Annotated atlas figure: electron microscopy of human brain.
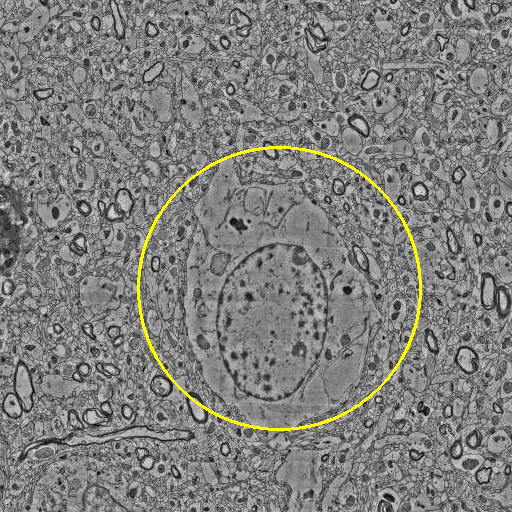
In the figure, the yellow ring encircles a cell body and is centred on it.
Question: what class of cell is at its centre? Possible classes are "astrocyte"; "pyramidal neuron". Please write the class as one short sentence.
The yellow ring is drawn around an astrocyte.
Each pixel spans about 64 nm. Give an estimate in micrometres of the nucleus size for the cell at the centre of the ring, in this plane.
In this plane, the nucleus of the cell at the centre of the ring measures about 10 by 7 micrometres.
